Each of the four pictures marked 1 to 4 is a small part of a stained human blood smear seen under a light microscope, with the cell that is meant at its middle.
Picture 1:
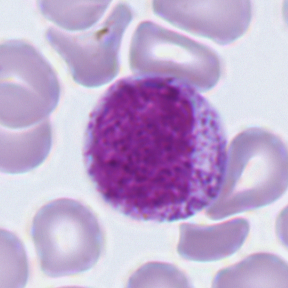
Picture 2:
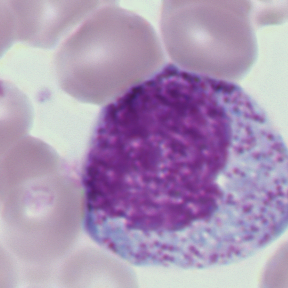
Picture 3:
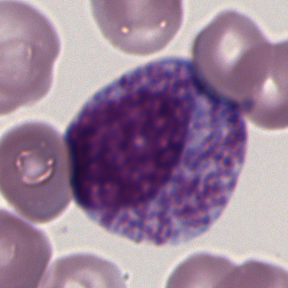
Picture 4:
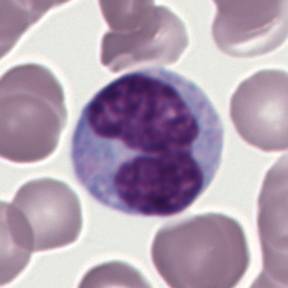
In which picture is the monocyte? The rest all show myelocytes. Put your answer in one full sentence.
Picture 4 shows the monocyte.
